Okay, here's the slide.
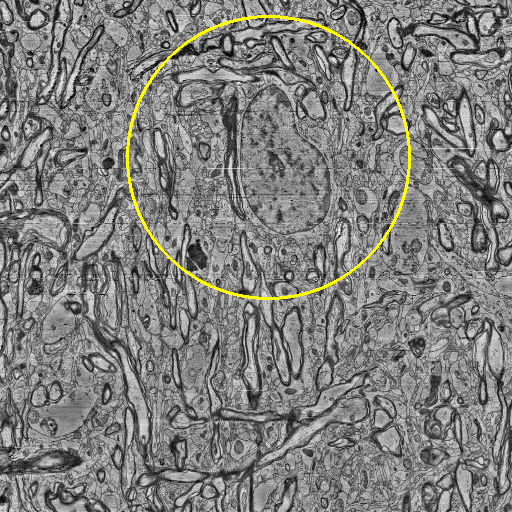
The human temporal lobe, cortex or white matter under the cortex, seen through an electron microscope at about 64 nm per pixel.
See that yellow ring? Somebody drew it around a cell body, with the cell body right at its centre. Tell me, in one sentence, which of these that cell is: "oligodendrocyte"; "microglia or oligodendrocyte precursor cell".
The cell in the middle of the ring is a microglial cell or oligodendrocyte precursor cell.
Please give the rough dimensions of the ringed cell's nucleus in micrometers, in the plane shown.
The nucleus comes to roughly 10 by 6 micrometres in this plane.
